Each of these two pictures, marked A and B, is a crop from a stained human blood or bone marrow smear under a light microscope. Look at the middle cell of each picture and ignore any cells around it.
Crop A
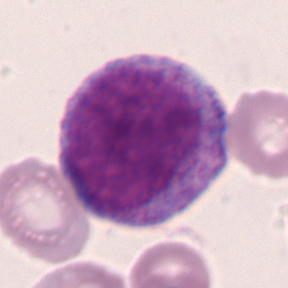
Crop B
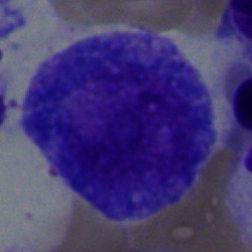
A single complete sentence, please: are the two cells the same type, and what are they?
Yes, promyelocytes occupy the centre of both crops.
